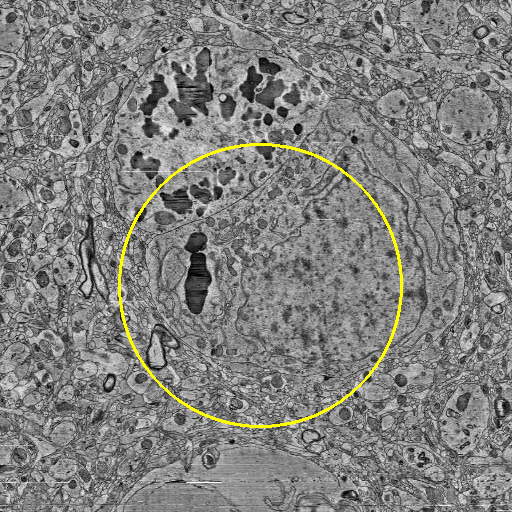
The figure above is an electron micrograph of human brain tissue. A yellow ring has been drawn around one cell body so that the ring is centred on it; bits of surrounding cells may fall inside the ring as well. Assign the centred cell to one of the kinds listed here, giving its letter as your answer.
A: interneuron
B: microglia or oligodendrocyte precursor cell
A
